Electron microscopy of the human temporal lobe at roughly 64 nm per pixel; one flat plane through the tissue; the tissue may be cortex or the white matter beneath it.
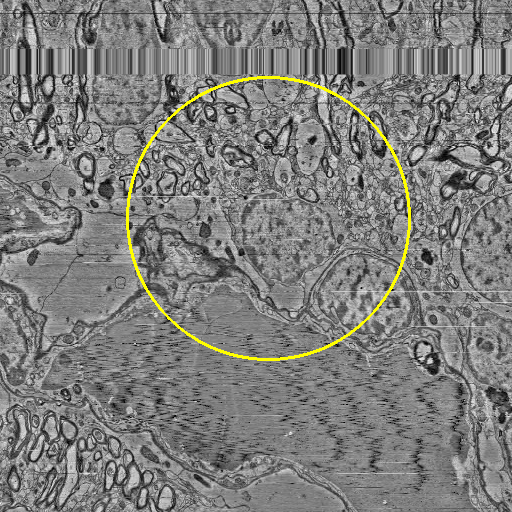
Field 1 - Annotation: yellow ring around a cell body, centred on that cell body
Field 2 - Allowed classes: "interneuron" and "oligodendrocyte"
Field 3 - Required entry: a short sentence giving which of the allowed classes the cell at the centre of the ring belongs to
The centred cell is an oligodendrocyte.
